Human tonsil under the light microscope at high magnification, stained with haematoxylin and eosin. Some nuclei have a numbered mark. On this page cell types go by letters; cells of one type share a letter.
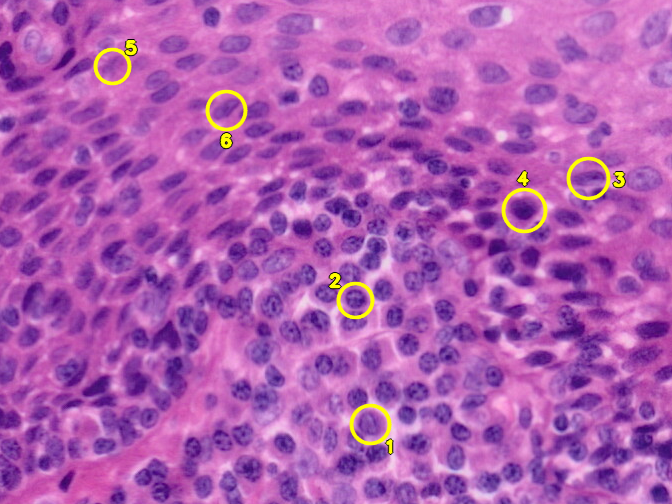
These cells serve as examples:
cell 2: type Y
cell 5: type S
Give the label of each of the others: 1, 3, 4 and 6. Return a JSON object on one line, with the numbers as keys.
{"1": "type Y", "3": "type S", "4": "type S", "6": "type S"}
